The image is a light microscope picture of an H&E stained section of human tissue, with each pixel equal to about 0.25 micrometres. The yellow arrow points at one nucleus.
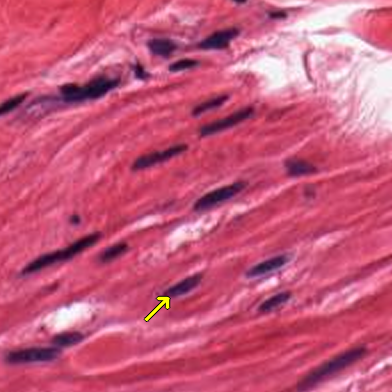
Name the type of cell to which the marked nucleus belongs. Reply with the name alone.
smooth muscle cell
